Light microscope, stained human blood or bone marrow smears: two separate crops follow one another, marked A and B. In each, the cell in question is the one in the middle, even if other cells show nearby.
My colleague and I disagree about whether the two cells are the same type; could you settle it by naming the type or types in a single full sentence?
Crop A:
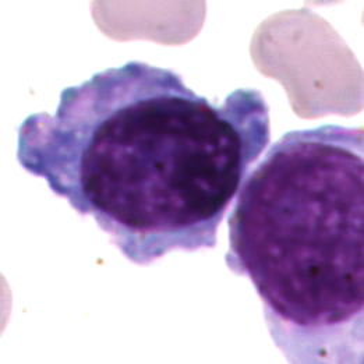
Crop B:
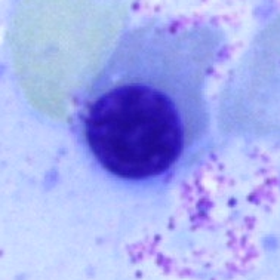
No, crop B shows a normoblast, and crop A shows a plasma cell.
